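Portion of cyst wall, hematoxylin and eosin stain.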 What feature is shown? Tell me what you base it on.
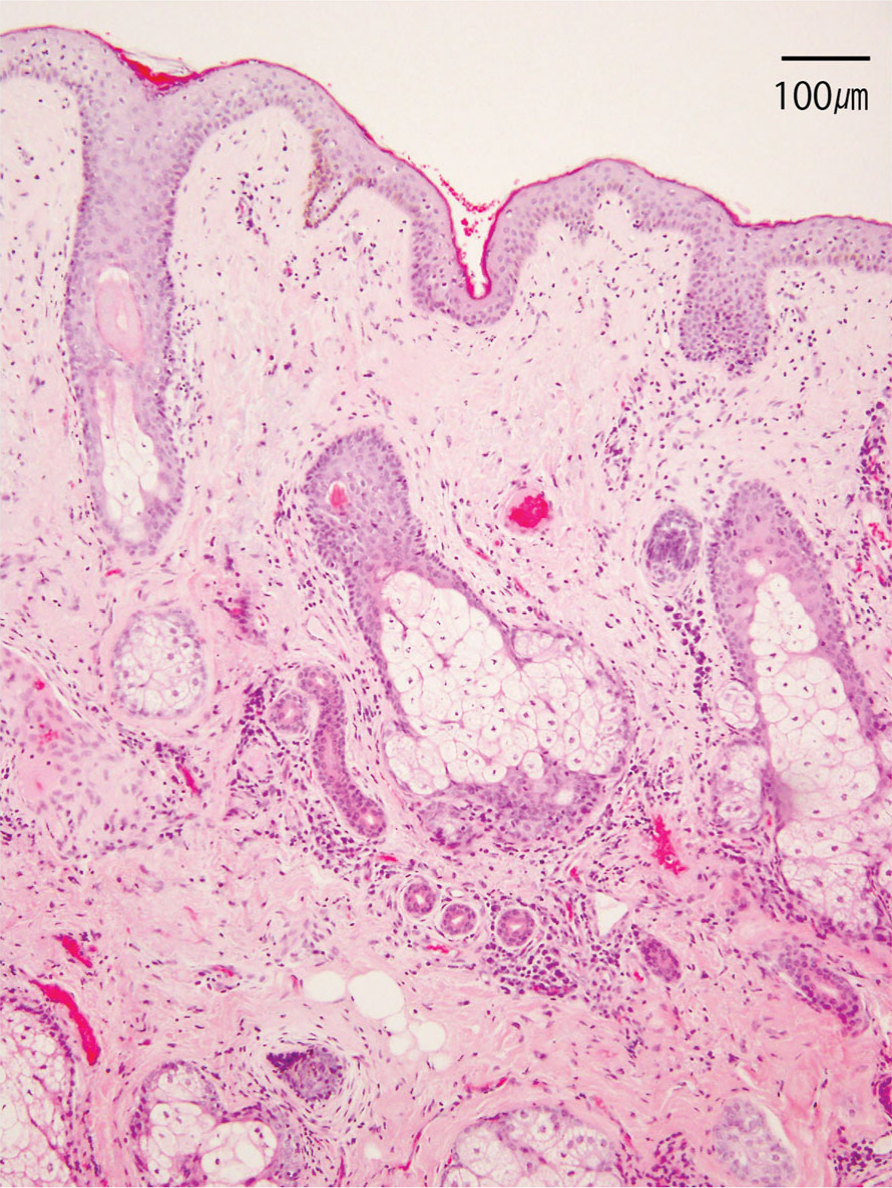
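Lobules of large pale cells with foamy, vacuolated cytoplasm and small central nuclei lie beneath the surface epithelium. Small round tubules lined by a single layer of cuboidal cells with a central lumen lie deeper in the wall. Some pale lobules connect to downgrowths of the surface epithelium. On this evidence: sebaceous and sweat glands.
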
